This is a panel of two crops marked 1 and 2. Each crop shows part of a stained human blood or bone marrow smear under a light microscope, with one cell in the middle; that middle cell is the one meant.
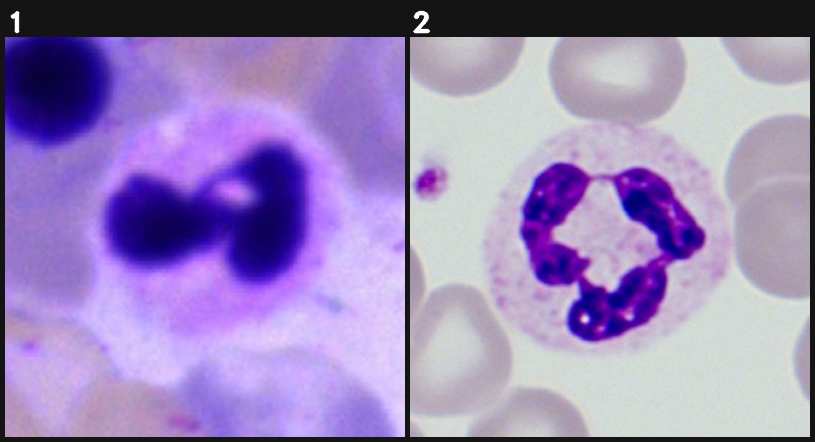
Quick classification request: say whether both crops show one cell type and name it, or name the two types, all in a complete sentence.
Yes, both crops show segmented neutrophils in their central position.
